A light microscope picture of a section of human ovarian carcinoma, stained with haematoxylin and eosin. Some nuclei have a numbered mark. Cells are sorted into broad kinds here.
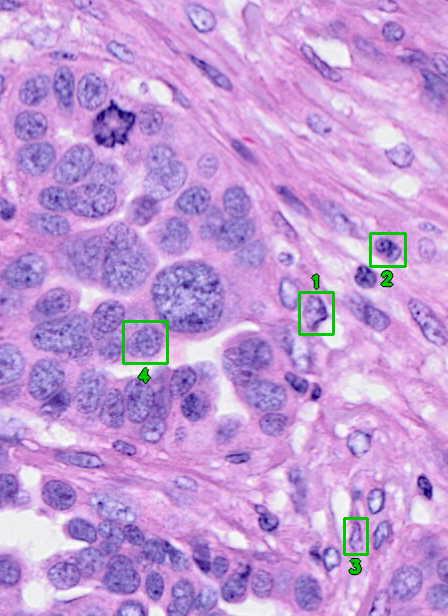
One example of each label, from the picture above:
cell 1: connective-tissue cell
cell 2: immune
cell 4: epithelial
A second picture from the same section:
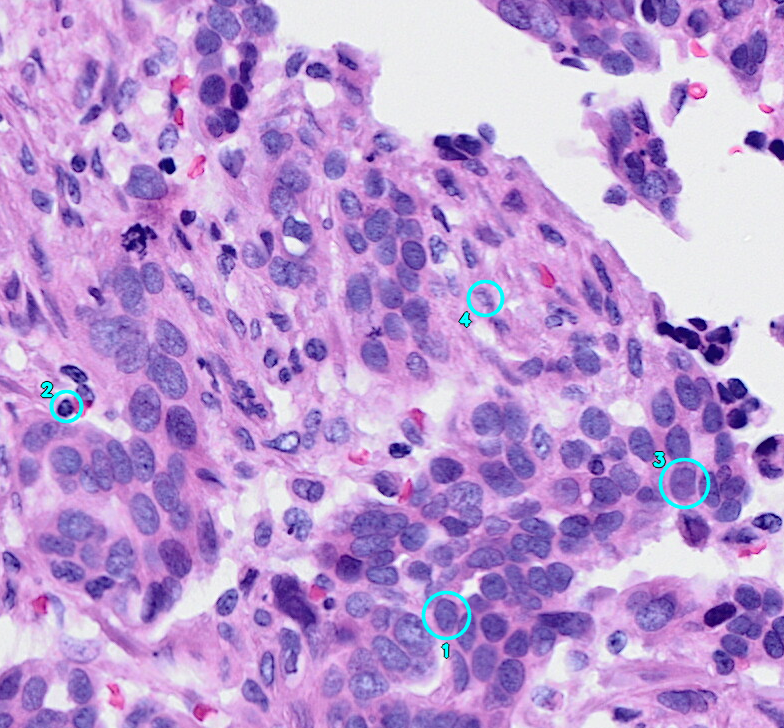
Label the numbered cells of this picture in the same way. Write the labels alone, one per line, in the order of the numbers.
epithelial
immune
epithelial
connective-tissue cell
